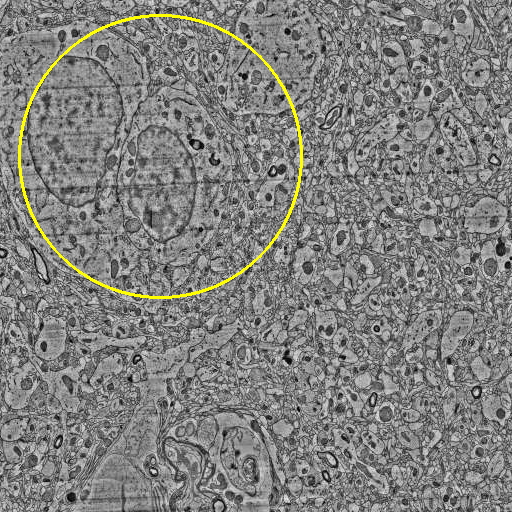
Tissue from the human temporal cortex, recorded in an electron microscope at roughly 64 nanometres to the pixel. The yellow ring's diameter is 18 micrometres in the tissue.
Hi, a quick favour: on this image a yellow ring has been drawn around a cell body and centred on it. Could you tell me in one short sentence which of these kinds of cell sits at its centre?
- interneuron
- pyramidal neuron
The ring is centred on a pyramidal neuron.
